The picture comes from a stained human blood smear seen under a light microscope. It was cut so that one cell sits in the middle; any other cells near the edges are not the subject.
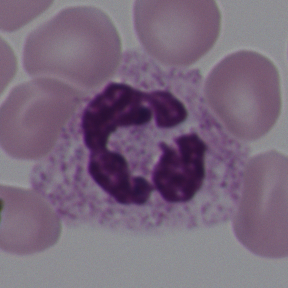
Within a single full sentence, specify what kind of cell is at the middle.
This crop is built around a neutrophil at its centre.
